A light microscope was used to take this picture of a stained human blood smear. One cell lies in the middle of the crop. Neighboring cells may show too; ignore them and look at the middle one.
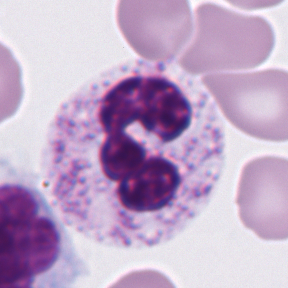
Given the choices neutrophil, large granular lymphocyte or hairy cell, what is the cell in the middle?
neutrophil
